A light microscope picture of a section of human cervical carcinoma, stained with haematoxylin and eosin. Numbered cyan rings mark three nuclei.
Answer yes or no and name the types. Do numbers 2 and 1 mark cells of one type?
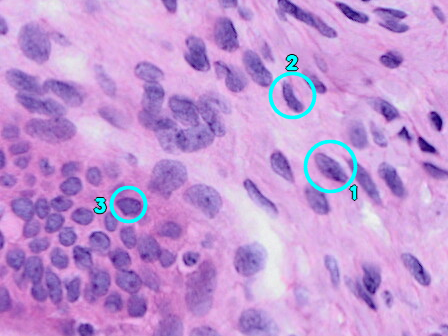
Yes, both are fibroblasts.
